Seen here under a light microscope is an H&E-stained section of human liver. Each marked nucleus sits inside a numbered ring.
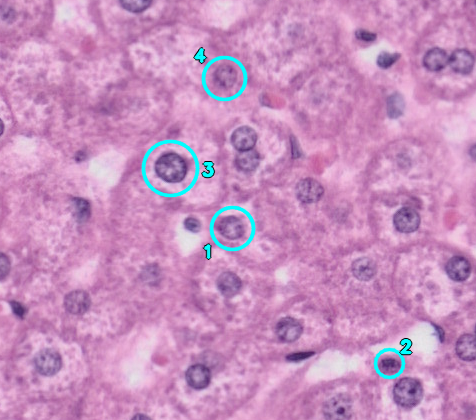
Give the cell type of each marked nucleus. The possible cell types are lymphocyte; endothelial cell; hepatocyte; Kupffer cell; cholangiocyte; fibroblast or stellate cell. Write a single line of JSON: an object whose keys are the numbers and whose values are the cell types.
{"1": "hepatocyte", "2": "Kupffer cell", "3": "hepatocyte", "4": "hepatocyte"}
